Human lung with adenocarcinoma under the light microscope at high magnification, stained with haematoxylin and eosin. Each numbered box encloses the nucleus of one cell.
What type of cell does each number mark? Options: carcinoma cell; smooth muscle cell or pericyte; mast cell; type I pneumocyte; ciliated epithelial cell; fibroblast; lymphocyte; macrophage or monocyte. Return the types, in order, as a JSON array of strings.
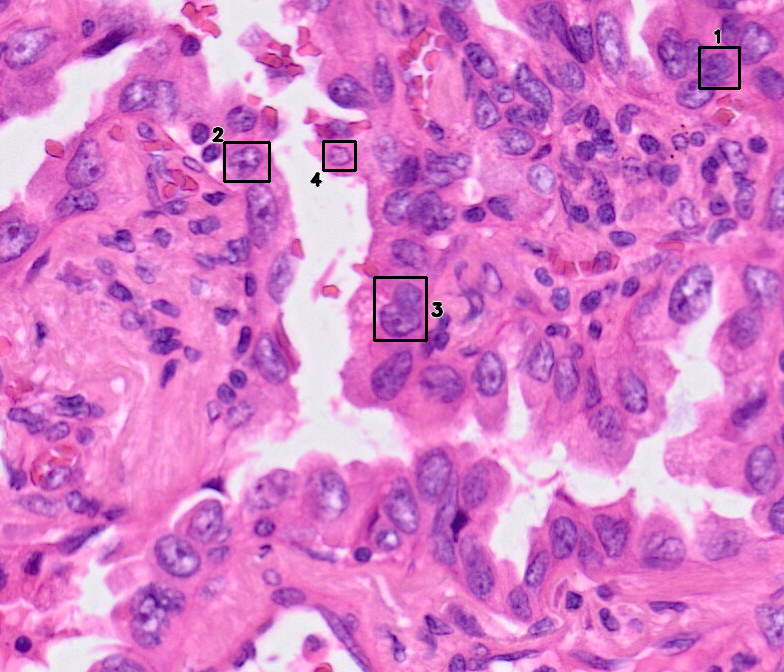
["carcinoma cell", "carcinoma cell", "carcinoma cell", "macrophage or monocyte"]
